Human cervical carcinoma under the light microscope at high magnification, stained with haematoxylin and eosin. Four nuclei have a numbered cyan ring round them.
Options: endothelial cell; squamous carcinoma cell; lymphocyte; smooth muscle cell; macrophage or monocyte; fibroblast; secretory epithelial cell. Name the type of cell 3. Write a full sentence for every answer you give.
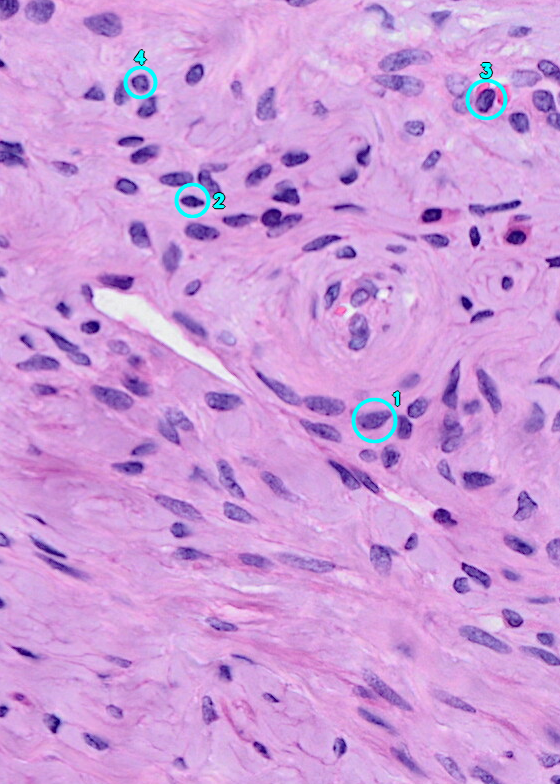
Classified as an endothelial cell is the cell with the number 3.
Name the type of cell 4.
Here, the cell given the number 4 is a fibroblast.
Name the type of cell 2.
Numbered cell 2 is a fibroblast in this tissue section.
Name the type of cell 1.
The nucleus labelled 1 belongs to a fibroblast.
